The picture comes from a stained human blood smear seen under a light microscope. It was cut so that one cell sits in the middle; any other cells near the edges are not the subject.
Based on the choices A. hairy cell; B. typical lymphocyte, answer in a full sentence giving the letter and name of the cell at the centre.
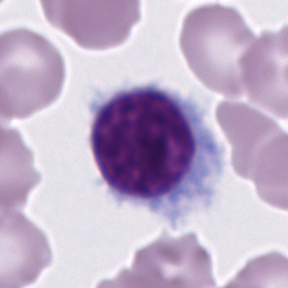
The cell right in the middle is a hairy cell, so option A is the one.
